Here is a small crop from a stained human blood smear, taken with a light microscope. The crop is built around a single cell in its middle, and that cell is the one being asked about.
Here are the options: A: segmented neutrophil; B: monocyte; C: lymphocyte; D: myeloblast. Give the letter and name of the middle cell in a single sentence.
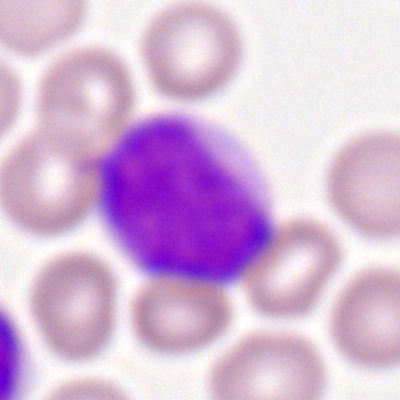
The right choice is option D: the cell in the middle is a myeloblast.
